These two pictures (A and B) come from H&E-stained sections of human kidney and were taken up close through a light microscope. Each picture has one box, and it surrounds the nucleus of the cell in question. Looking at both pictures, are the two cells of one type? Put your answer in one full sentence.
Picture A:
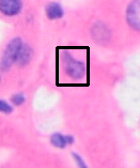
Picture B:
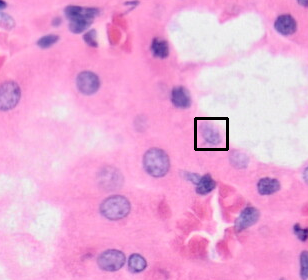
No; the cell in picture A is a proximal tubule cell, while the one in picture B is a “loop of Henle or distal tubule cell”.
